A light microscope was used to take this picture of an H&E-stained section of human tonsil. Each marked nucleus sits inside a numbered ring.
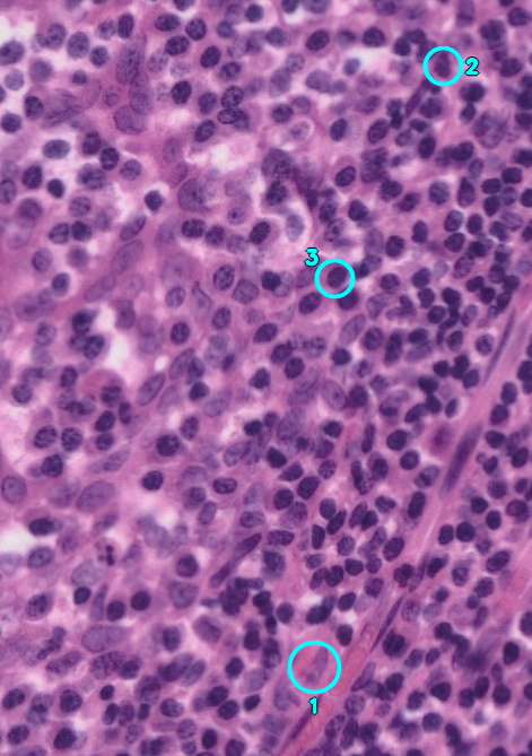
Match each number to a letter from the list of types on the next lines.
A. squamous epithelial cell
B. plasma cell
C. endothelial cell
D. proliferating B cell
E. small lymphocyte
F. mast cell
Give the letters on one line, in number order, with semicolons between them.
C; A; B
